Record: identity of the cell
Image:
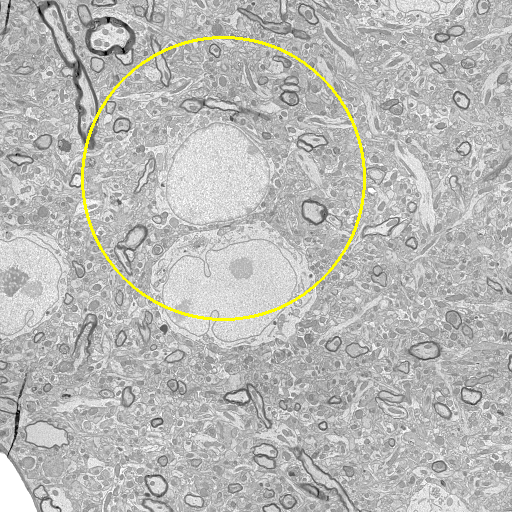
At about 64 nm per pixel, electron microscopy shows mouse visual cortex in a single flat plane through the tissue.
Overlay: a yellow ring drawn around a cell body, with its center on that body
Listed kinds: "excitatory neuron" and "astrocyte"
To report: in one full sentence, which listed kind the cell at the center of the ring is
In the image, the cell body at the ring's center belongs to an astrocyte.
